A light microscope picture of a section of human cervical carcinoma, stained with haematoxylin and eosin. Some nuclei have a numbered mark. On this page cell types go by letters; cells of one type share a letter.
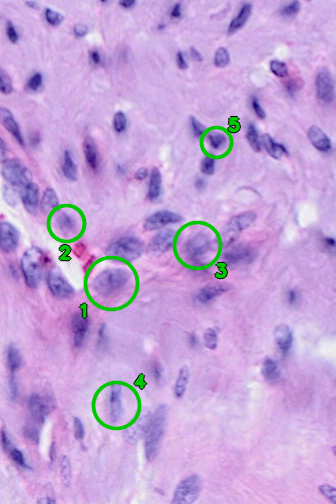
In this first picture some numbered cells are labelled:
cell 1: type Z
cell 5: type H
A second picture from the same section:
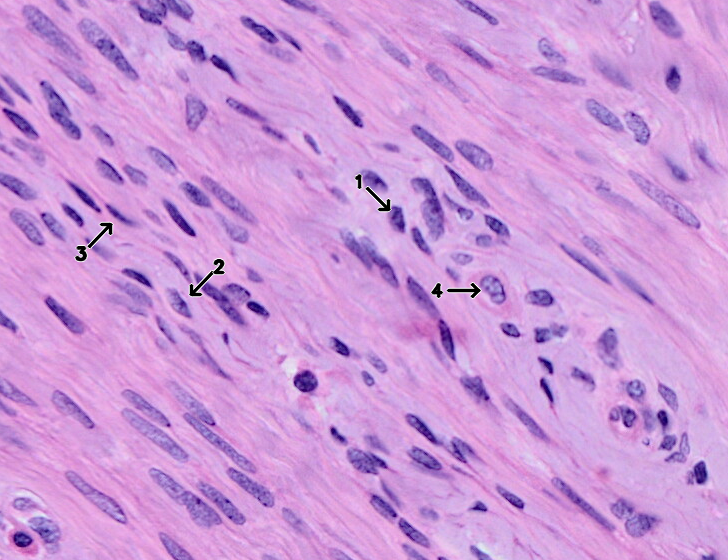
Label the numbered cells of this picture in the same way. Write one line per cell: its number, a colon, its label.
1: type H
2: type H
3: type H
4: type Z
